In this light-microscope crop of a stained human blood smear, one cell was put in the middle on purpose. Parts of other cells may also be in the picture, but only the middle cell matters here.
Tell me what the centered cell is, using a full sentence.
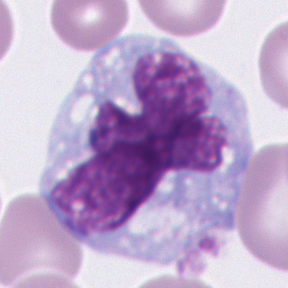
The center cell of this crop is a monocyte.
